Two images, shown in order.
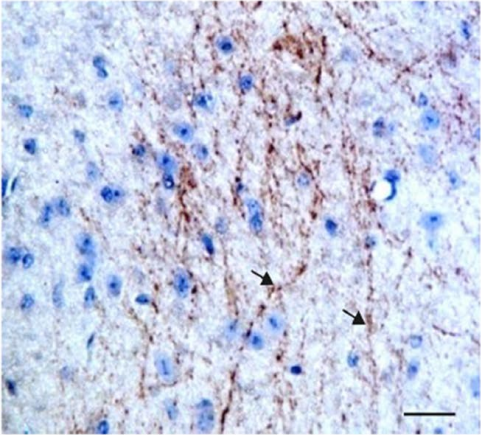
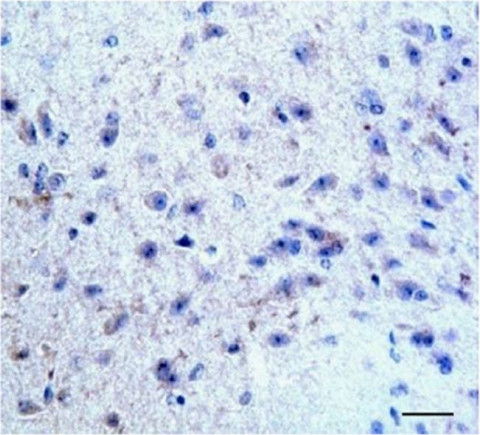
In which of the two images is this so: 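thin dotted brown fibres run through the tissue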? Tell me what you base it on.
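Second image: blue nuclei in pale tissue with almost no brown threads. First image: many beaded brown threads course between the blue nuclei. That points to this answer: the first image.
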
